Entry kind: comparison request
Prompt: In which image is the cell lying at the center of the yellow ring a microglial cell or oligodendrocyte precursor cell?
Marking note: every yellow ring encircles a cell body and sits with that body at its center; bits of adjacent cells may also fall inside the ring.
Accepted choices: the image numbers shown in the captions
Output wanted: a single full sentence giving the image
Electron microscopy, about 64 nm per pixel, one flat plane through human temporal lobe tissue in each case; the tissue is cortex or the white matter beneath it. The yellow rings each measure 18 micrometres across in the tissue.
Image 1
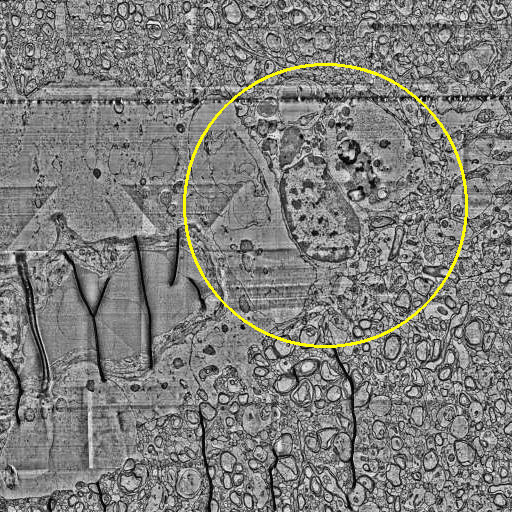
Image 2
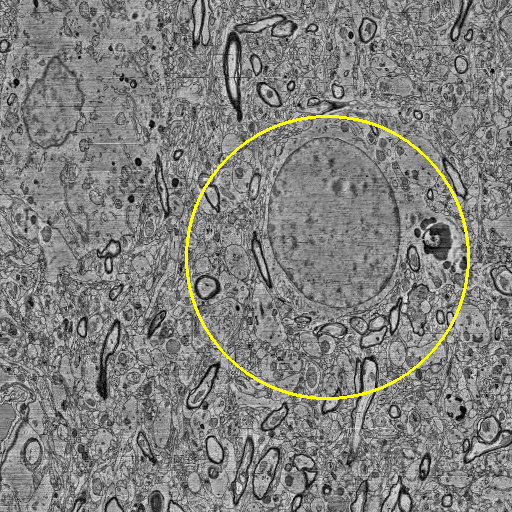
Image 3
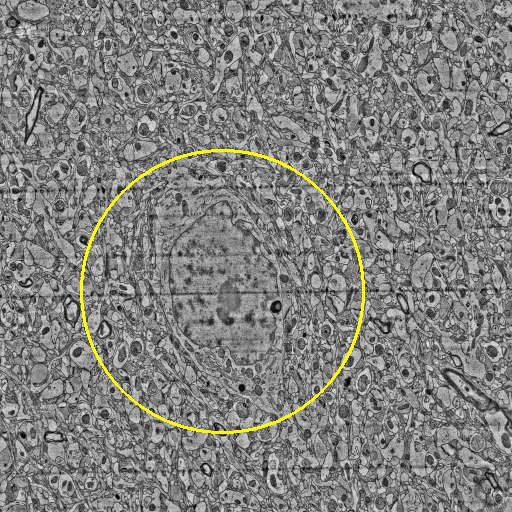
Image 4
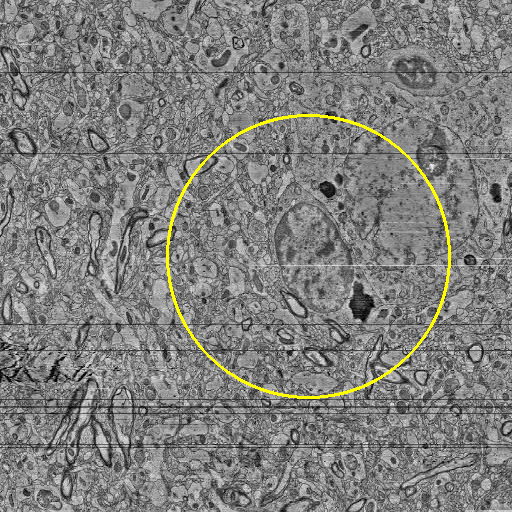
In image 1, the ringed cell at the center matches the prompt.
